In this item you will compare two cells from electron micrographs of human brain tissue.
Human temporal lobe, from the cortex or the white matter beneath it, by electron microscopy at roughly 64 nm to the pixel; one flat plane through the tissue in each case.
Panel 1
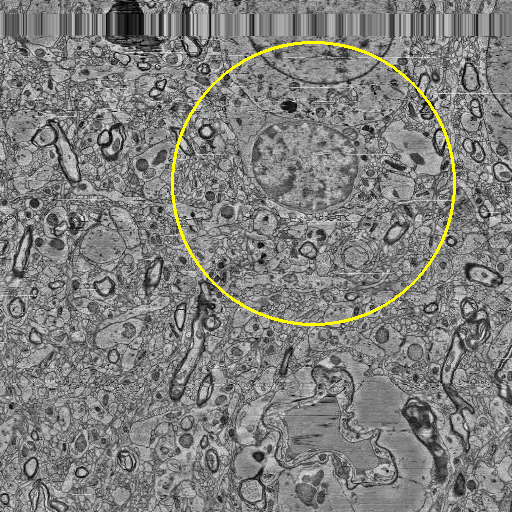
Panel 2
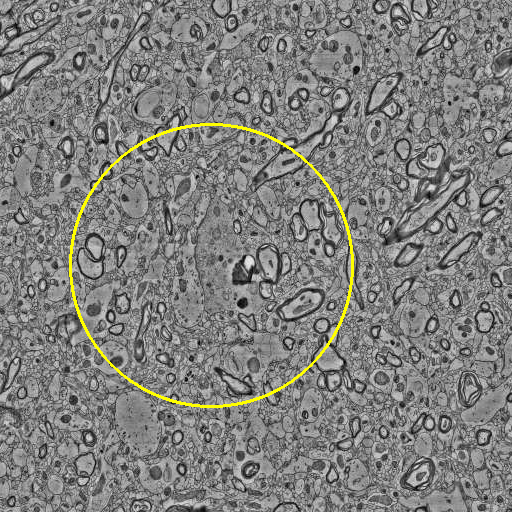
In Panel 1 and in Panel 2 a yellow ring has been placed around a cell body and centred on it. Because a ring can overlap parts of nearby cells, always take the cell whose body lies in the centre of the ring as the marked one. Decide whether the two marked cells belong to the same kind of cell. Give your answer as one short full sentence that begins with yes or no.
Yes, the two marked cells belong to the same kind of cell.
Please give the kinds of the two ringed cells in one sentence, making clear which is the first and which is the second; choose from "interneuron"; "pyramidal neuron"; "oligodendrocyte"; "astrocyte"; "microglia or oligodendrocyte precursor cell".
Each of the two cells is an oligodendrocyte.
